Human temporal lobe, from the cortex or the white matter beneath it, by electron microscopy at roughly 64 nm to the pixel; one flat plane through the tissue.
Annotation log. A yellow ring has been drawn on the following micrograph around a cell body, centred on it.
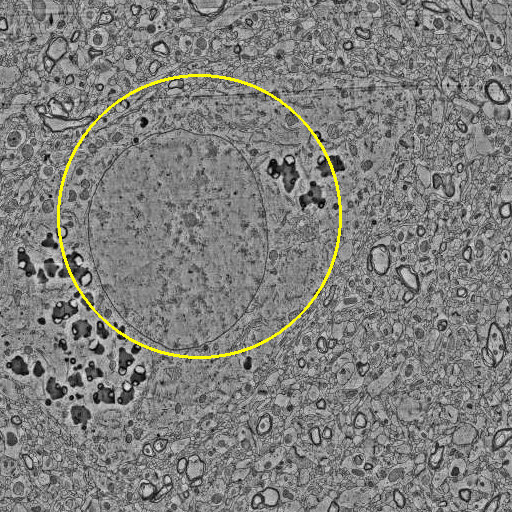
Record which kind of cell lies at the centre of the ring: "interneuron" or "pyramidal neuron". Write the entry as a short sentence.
The cell the ring is centred on is a pyramidal neuron.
